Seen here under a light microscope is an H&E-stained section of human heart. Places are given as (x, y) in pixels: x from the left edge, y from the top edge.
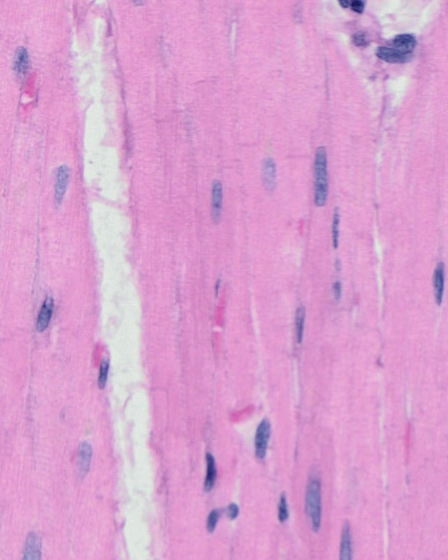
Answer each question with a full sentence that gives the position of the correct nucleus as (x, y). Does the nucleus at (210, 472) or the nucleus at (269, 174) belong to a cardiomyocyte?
The nucleus whose cell is a cardiomyocyte is the one at (269, 174).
